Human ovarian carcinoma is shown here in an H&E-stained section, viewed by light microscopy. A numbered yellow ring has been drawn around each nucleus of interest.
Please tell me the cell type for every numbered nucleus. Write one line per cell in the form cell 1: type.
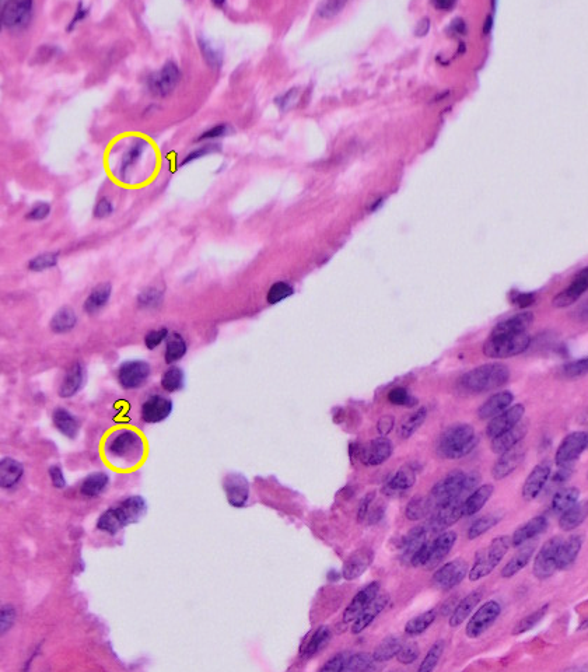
cell 1: fibroblast
cell 2: macrophage or monocyte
